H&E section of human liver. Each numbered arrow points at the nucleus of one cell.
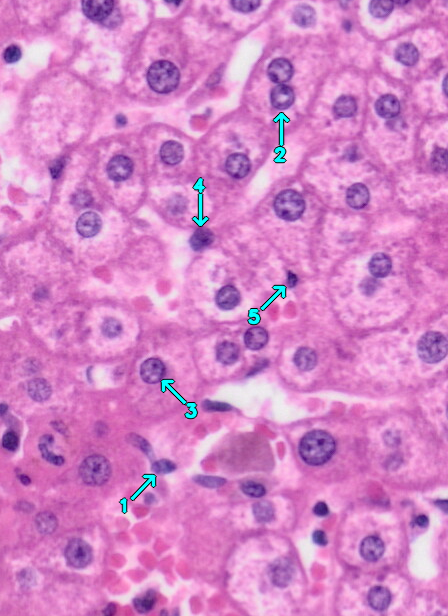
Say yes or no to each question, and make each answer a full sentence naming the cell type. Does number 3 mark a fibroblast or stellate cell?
No, calling cell 3 a fibroblast or stellate cell is incorrect; it is a hepatocyte.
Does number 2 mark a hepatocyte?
Yes, the cell identified by number 2 is a hepatocyte.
